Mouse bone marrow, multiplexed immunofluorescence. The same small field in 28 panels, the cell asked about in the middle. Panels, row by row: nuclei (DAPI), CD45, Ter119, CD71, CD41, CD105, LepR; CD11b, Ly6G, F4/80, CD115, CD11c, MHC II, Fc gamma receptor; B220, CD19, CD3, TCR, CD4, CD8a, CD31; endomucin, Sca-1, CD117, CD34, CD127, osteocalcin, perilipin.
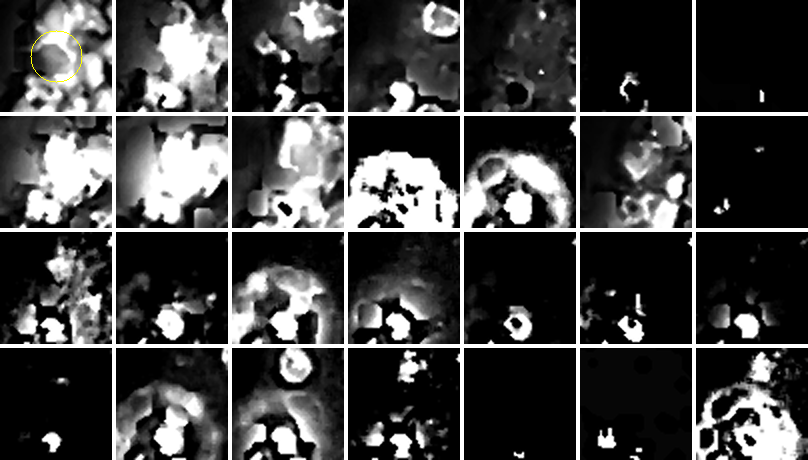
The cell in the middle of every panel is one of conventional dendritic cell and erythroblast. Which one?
conventional dendritic cell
